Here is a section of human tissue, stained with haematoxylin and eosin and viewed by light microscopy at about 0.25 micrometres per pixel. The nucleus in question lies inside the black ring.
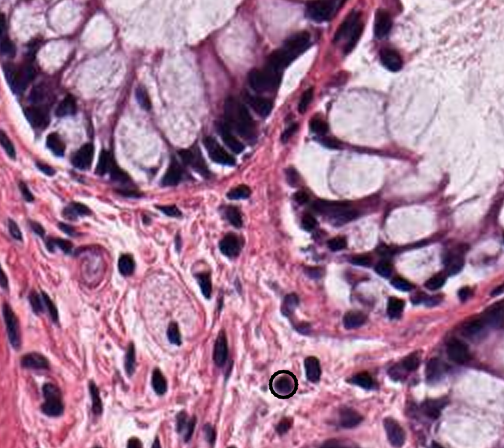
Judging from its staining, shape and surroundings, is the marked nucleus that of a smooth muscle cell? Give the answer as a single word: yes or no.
no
